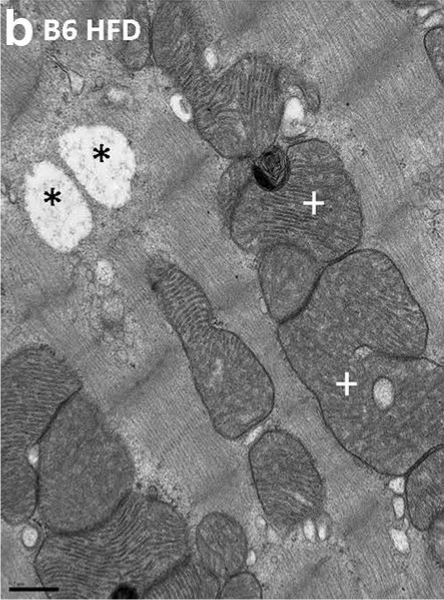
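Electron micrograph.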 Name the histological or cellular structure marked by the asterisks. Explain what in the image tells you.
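Two round pale, electron-lucent bodies lie side by side in the cytoplasm. They have no double membrane or cristae, unlike the nearby mitochondria. They sit between myofibrils and mitochondria.
Answer: lipid droplets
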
